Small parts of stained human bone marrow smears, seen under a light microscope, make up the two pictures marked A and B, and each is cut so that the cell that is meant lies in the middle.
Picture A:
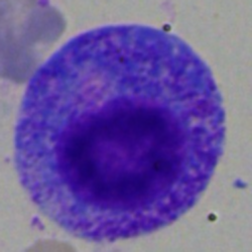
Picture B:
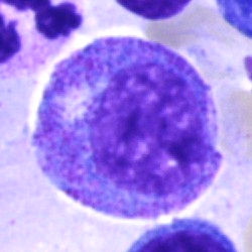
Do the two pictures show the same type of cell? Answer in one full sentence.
Yes, both are promyelocytes.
